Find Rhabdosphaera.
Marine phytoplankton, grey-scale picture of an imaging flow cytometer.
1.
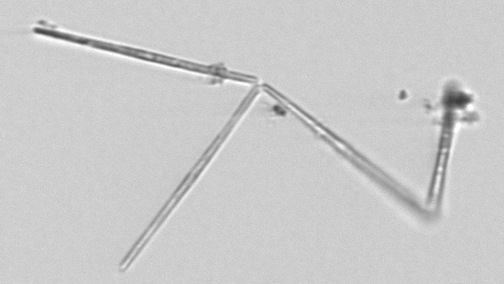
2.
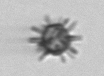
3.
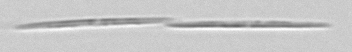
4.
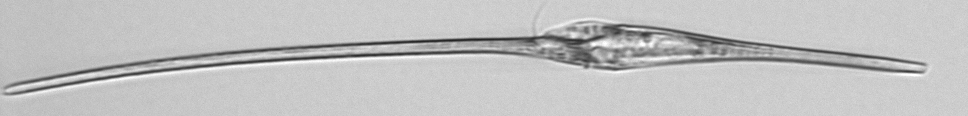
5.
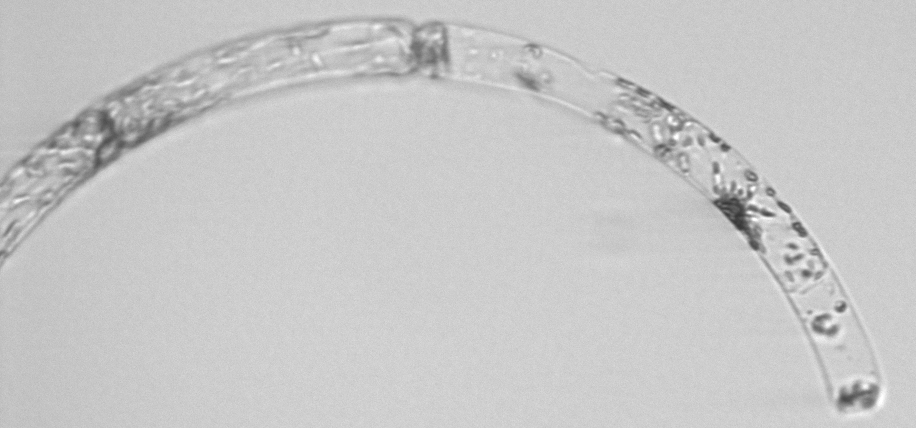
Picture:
2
